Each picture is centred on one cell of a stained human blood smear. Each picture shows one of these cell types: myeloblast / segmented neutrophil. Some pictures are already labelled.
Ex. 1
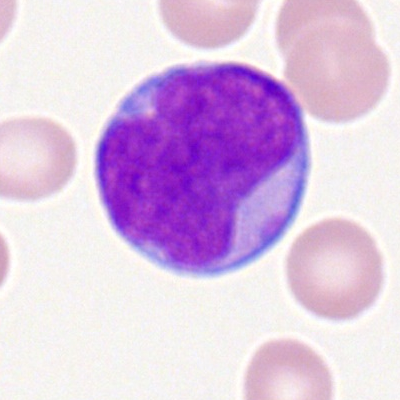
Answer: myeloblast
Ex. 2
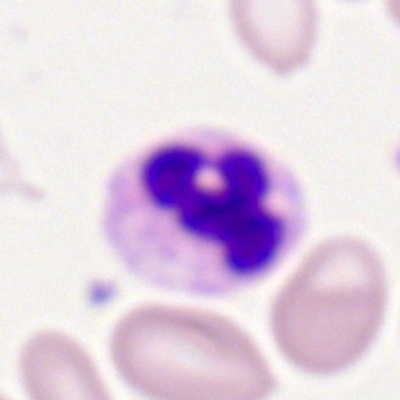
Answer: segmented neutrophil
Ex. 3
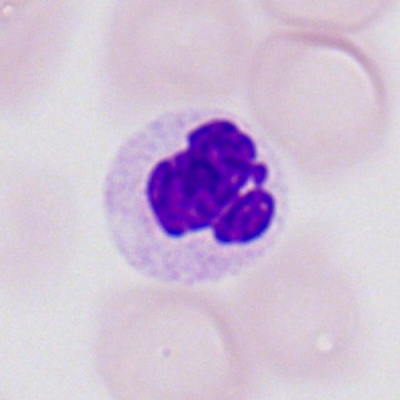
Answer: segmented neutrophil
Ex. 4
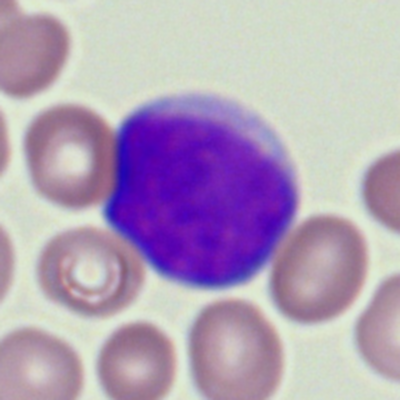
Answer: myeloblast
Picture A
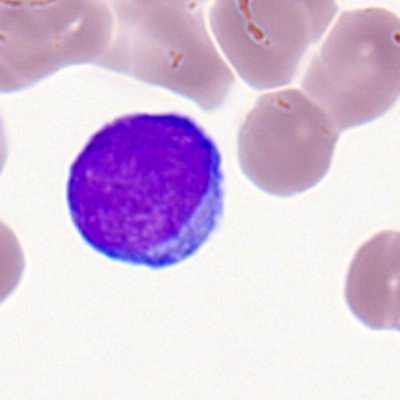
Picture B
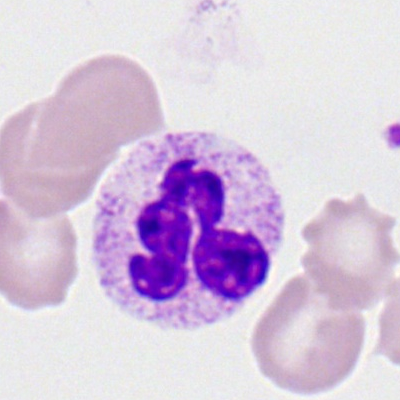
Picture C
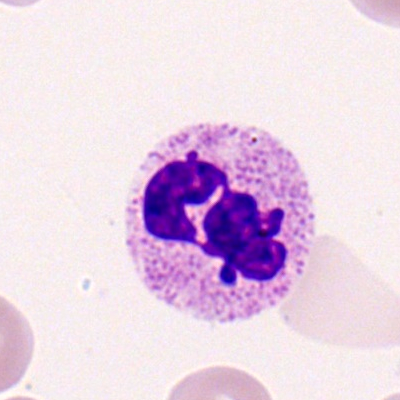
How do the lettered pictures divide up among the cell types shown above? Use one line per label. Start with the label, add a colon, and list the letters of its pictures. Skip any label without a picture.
myeloblast: A
segmented neutrophil: B, C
